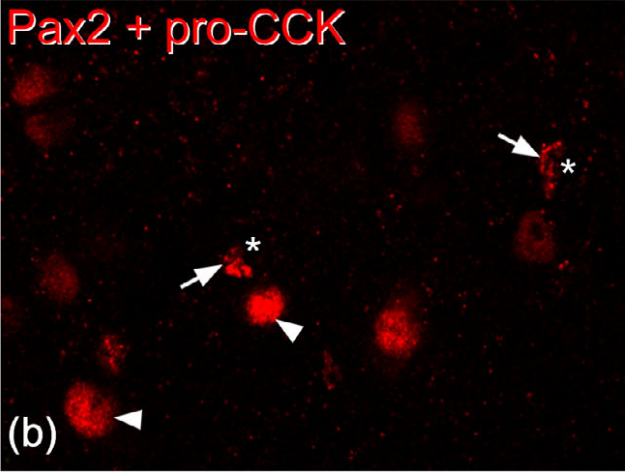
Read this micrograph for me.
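Cells in which red labeling takes two forms: bright, evenly filled round to oval nuclear profiles, and small granular crescents of perikaryal cytoplasm. The nuclear profiles vary in intensity from faint to bright. The granular crescents are smaller and irregular and lie beside unlabeled dark areas. The background is dark with sparse fine red puncta.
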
